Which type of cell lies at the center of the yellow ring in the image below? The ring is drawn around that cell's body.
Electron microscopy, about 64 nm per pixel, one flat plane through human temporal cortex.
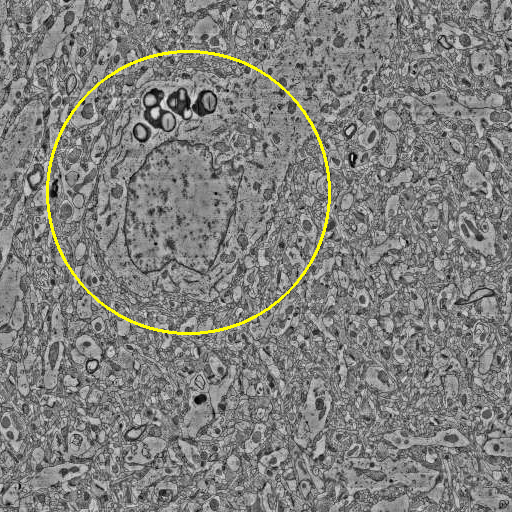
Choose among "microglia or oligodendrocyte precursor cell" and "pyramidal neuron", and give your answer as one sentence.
The cell body at the center belongs to a pyramidal neuron.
